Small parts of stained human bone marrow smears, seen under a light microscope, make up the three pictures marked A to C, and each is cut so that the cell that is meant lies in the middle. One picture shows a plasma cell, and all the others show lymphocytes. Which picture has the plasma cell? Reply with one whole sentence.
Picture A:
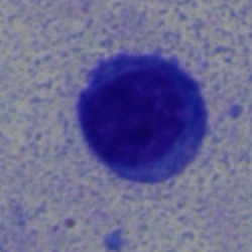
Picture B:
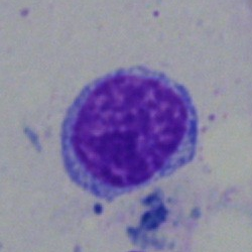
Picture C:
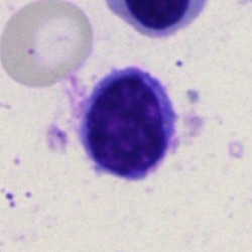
The plasma cell is the one in picture A.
